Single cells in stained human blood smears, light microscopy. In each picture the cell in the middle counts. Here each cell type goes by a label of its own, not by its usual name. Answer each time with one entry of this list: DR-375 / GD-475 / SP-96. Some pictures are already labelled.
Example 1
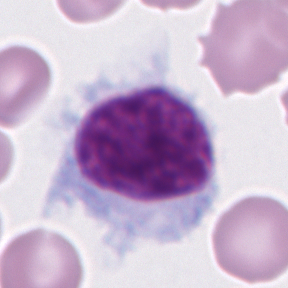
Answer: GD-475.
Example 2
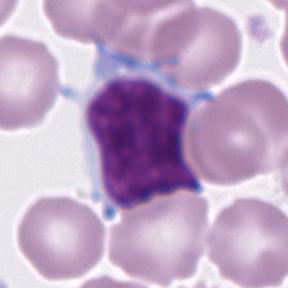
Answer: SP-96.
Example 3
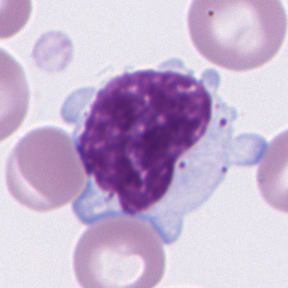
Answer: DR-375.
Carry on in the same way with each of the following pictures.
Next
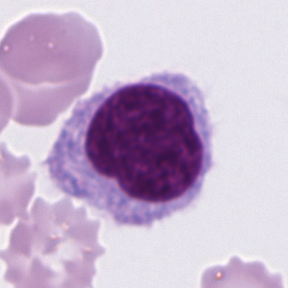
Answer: GD-475.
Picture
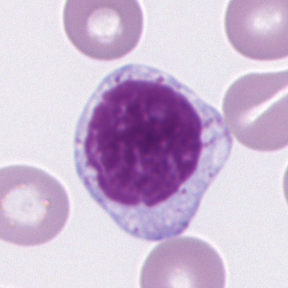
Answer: DR-375.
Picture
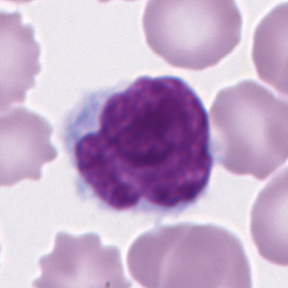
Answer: GD-475.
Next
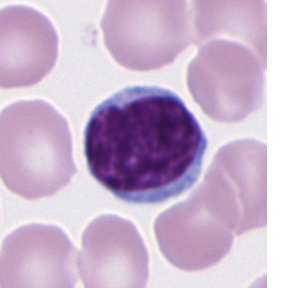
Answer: SP-96.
